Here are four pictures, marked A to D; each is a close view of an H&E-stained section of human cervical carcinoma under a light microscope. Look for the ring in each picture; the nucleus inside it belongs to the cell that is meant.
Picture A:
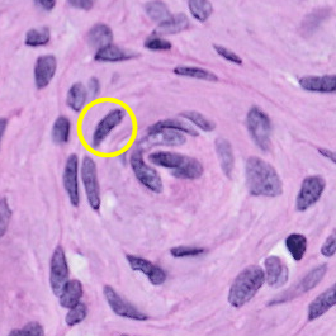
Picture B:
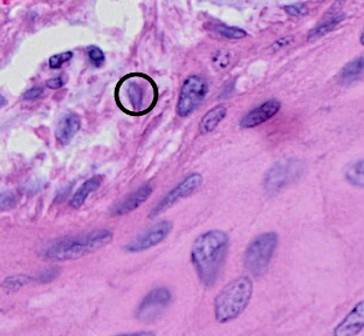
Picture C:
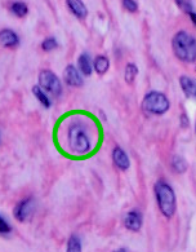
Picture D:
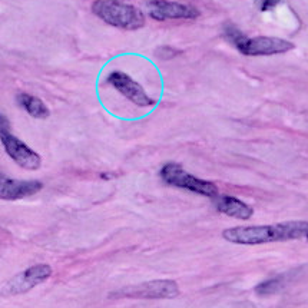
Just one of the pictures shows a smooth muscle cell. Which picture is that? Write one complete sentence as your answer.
The smooth muscle cell is the one in picture C.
